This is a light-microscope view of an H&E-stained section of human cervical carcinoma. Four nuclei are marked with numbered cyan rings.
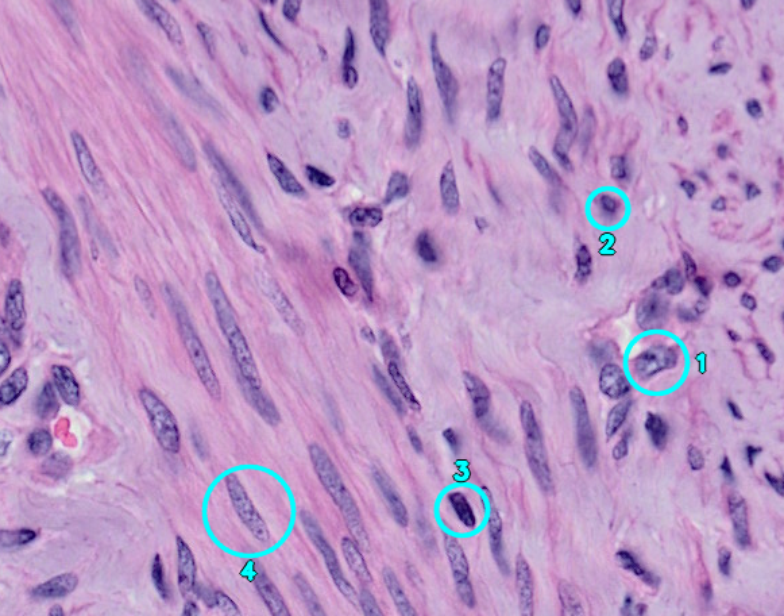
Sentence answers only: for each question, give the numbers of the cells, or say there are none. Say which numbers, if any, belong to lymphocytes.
Only number 3 is a lymphocyte; none of the others are.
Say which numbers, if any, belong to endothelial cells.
Only one choice fits: cell 1 is an endothelial cell, and no other.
